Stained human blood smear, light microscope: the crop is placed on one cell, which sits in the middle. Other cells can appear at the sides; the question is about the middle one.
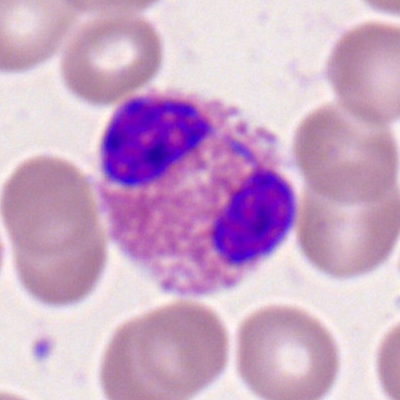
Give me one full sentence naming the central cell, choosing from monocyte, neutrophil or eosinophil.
The crop centres on a single cell, and that cell is an eosinophil.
